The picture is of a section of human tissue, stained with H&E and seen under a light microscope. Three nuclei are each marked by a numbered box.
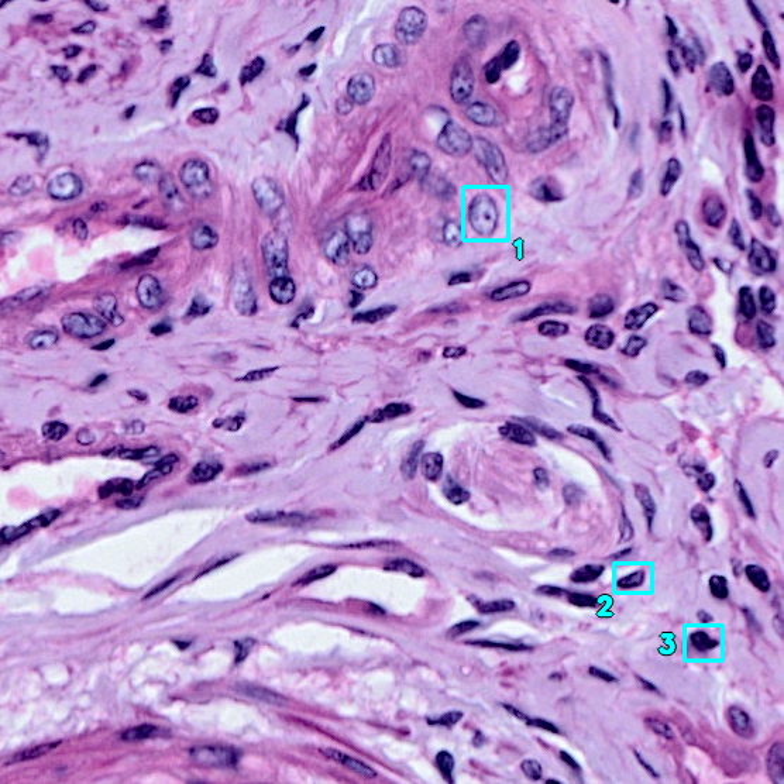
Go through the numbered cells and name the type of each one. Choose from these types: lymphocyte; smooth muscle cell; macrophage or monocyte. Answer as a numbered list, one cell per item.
1. smooth muscle cell
2. lymphocyte
3. lymphocyte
